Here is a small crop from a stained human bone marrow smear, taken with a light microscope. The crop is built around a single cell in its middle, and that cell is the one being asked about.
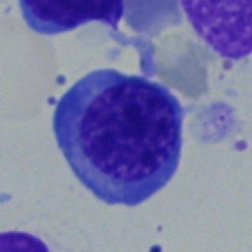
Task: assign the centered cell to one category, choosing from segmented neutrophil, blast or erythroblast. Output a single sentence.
Where the crop is centred, there is an erythroblast.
